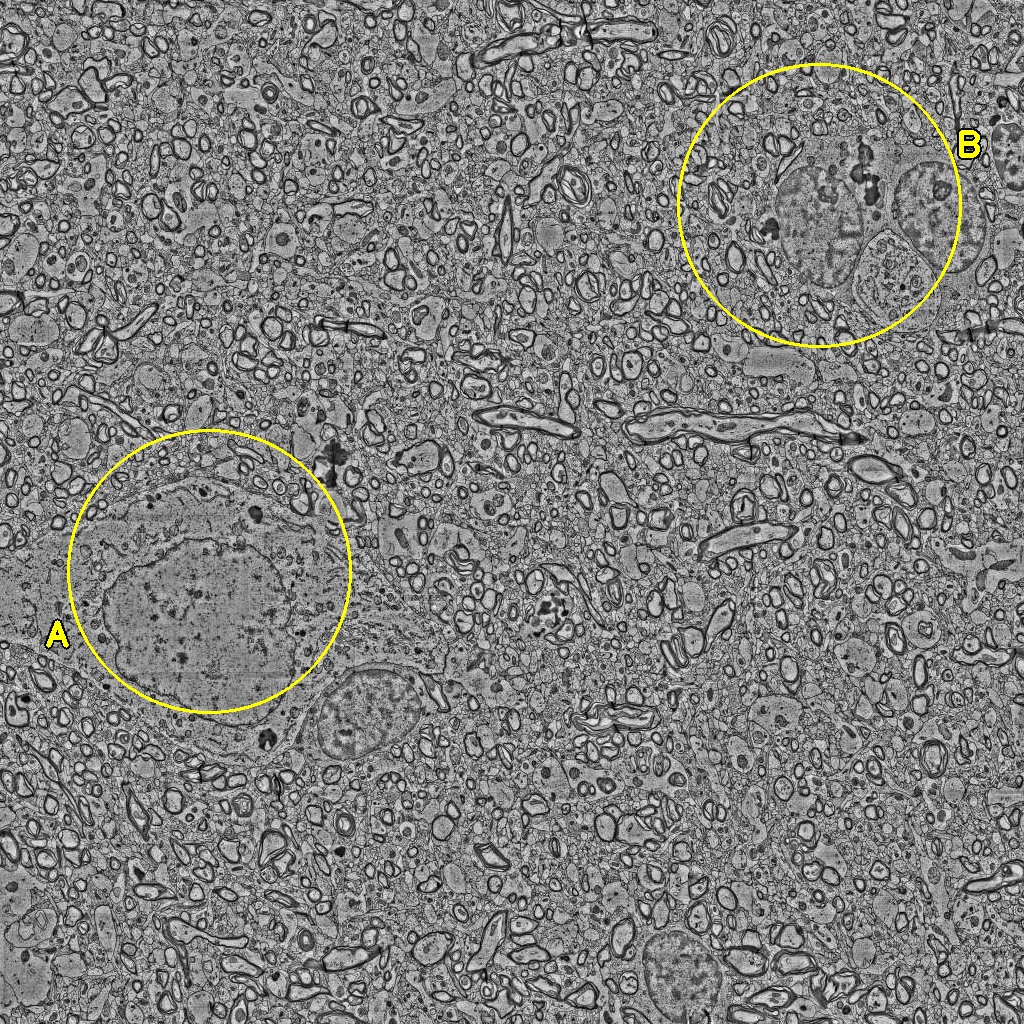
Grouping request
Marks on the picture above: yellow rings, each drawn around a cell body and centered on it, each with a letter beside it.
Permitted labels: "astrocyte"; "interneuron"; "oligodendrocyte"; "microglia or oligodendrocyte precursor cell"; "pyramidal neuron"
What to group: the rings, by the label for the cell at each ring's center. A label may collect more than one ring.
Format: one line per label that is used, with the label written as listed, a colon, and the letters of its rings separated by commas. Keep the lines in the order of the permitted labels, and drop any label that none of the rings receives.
oligodendrocyte: B
pyramidal neuron: A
